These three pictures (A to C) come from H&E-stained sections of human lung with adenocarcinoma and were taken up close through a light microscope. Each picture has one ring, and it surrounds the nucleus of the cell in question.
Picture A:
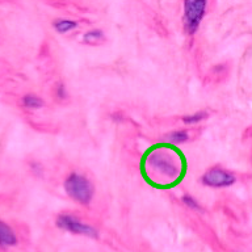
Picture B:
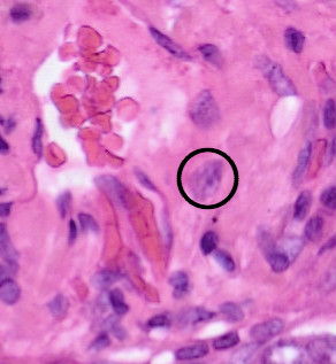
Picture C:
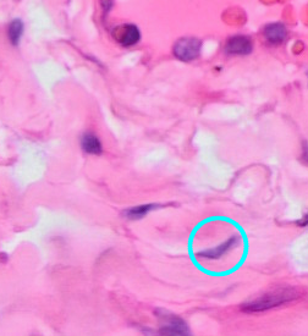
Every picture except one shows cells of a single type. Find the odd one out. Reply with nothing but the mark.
A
